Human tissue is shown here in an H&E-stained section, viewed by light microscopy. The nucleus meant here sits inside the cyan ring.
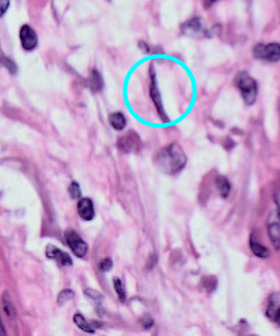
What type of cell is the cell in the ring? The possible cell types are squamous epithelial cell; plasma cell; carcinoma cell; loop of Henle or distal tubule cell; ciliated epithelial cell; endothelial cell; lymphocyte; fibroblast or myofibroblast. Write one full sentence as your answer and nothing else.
In the context of this tissue, the cell in the ring is a fibroblast or myofibroblast.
